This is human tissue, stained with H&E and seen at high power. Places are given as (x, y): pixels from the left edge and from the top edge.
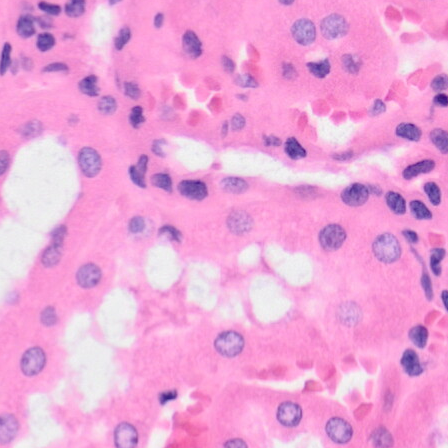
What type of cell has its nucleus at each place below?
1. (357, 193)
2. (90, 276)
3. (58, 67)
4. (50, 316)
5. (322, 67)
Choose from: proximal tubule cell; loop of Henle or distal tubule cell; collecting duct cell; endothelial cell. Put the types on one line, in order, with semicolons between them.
collecting duct cell; proximal tubule cell; collecting duct cell; proximal tubule cell; loop of Henle or distal tubule cell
